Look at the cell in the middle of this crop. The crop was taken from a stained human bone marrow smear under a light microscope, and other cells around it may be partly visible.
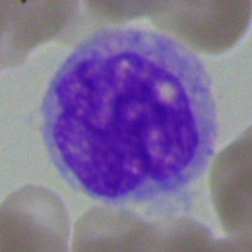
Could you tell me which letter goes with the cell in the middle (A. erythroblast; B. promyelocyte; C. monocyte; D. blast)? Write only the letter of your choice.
C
